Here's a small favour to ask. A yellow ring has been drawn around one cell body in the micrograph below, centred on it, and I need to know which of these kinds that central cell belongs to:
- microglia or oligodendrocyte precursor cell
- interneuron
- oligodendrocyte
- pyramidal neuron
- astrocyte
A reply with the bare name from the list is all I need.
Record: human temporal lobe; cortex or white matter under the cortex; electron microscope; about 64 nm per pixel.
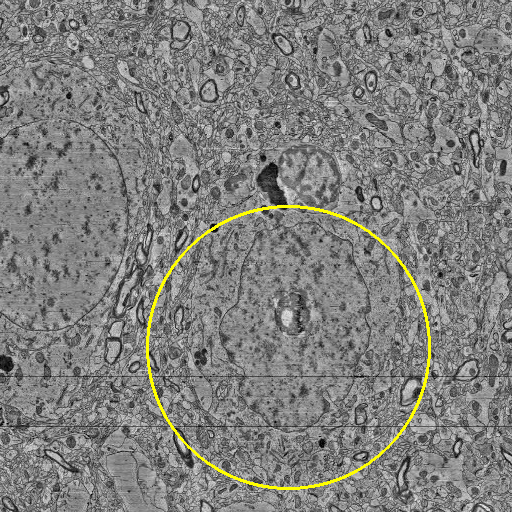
interneuron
